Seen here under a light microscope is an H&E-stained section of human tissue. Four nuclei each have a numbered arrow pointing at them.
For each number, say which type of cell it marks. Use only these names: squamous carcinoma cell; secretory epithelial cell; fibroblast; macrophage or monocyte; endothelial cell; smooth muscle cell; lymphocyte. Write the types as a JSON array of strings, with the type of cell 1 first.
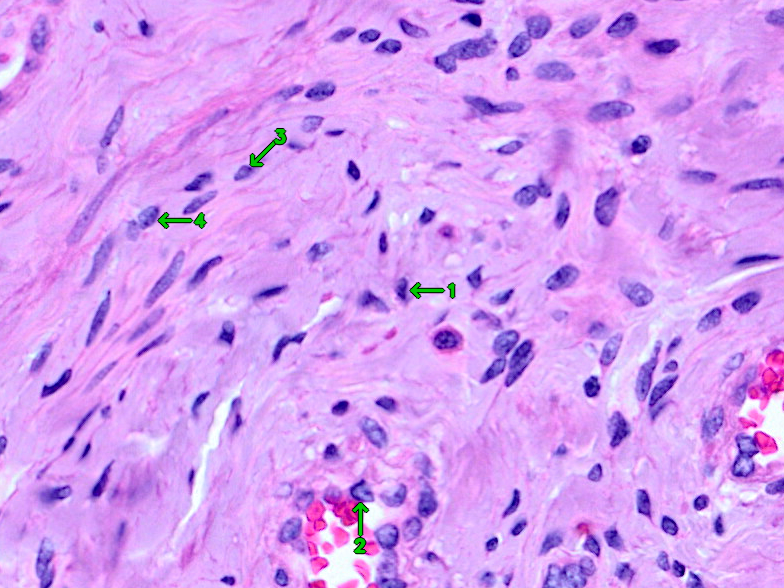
["fibroblast", "endothelial cell", "fibroblast", "fibroblast"]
